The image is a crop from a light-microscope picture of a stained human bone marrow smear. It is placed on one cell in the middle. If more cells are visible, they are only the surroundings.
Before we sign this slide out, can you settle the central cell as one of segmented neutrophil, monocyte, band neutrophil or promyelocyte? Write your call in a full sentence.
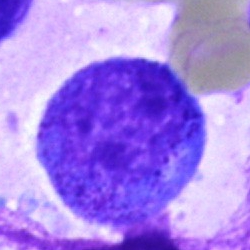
Looking at the middle of the crop, the cell there is a promyelocyte.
